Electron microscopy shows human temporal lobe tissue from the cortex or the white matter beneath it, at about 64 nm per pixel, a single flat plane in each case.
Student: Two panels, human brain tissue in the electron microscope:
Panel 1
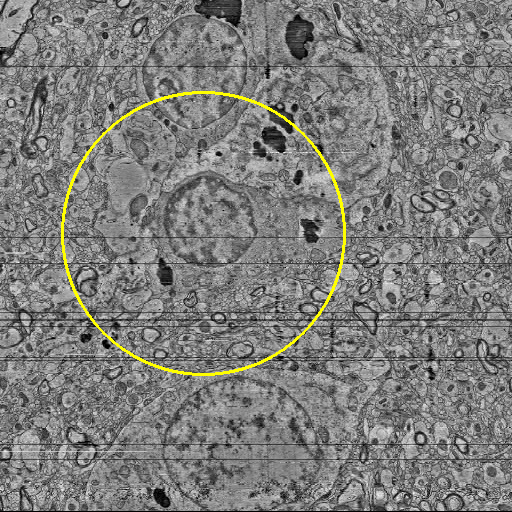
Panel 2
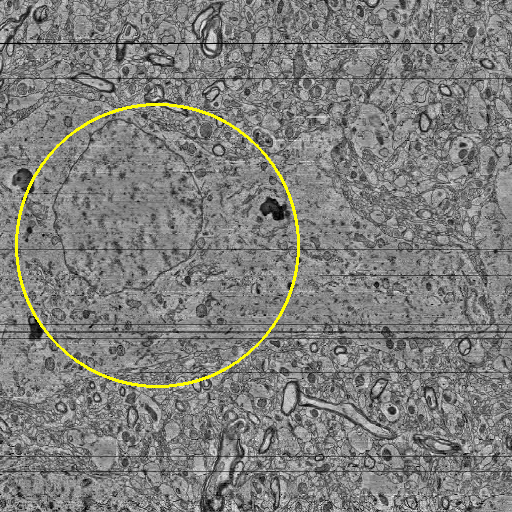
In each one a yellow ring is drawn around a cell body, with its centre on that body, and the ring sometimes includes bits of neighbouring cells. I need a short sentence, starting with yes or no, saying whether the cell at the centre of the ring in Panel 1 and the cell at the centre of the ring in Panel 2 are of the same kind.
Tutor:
No, they are two kinds of cell.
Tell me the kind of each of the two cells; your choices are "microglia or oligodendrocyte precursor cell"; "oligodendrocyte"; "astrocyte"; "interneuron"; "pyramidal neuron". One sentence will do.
The ringed cell is an oligodendrocyte in the first picture and a pyramidal neuron in the second picture.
